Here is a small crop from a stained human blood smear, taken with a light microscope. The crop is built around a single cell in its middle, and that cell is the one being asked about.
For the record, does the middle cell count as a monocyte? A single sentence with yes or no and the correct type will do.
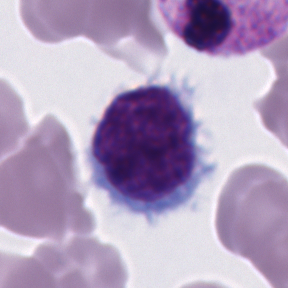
No, the cell in the middle should be called a hairy cell instead of a monocyte.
